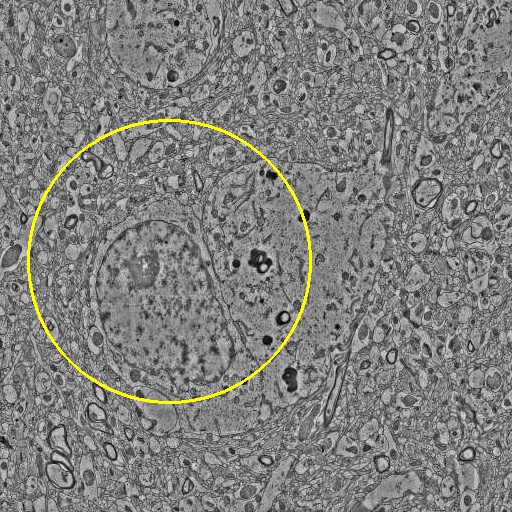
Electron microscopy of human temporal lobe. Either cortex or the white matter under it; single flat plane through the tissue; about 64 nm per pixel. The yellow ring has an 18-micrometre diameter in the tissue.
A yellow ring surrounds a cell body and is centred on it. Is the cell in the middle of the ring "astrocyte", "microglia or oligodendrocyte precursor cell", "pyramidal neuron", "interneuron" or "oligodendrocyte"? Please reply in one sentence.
The ring is centred on an interneuron.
